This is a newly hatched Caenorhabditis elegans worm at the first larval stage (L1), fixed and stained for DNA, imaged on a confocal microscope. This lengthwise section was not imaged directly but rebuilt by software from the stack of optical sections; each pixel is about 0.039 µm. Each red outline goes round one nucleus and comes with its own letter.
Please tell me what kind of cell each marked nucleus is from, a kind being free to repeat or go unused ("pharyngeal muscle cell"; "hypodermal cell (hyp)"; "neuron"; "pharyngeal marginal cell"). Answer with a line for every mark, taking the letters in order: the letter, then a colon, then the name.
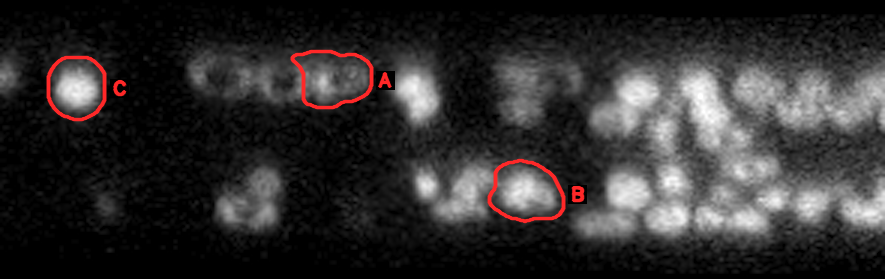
A: hypodermal cell (hyp)
B: pharyngeal marginal cell
C: neuron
